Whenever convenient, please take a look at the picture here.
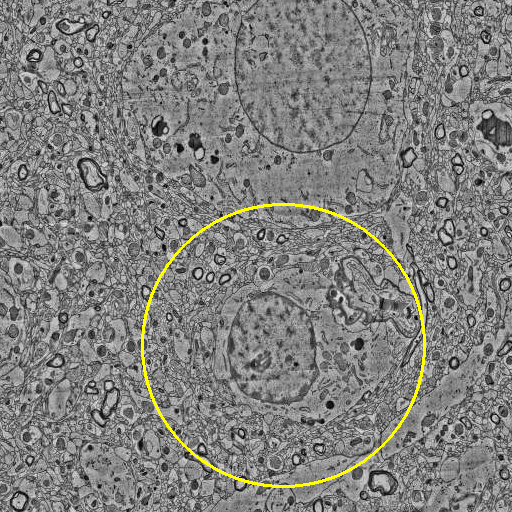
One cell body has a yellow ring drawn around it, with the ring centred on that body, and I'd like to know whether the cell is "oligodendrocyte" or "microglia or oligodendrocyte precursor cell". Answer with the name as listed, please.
microglia or oligodendrocyte precursor cell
